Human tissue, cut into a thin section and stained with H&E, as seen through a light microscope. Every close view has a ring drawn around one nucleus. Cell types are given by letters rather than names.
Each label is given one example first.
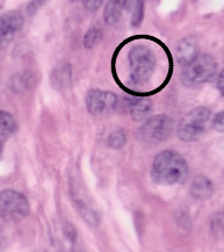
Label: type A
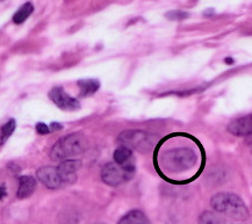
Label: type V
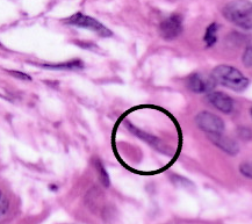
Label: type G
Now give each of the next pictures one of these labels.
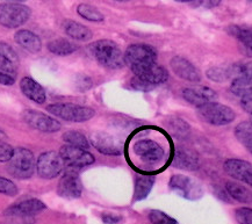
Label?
type V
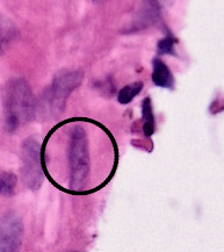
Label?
type G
